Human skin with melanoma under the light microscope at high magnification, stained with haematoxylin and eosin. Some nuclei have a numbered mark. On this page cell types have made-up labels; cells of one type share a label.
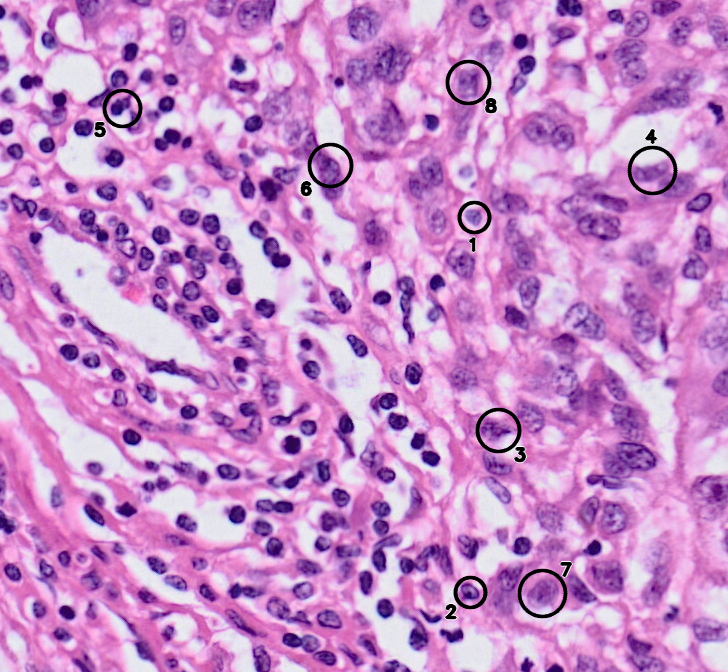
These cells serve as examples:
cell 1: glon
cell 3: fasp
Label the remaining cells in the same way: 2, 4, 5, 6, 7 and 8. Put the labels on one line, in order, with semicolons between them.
glon; fasp; glon; fasp; fasp; fasp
